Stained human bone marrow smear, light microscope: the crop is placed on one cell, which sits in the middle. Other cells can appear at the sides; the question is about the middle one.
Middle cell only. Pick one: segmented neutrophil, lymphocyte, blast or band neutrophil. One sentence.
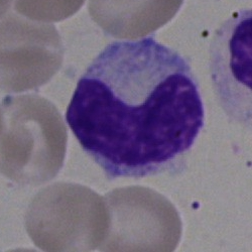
The cell at the centre of the field is a band neutrophil.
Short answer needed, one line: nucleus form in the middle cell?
Key feature: a single compact nucleus, round, oval or kidney-shaped.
